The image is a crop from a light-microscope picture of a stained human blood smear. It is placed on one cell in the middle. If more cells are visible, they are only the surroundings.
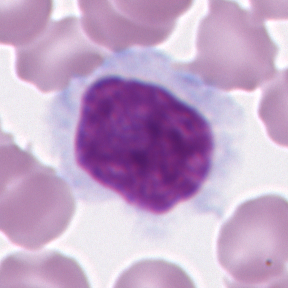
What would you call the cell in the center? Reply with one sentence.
The cell shown in the center of this light-microscope crop is a hairy cell.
